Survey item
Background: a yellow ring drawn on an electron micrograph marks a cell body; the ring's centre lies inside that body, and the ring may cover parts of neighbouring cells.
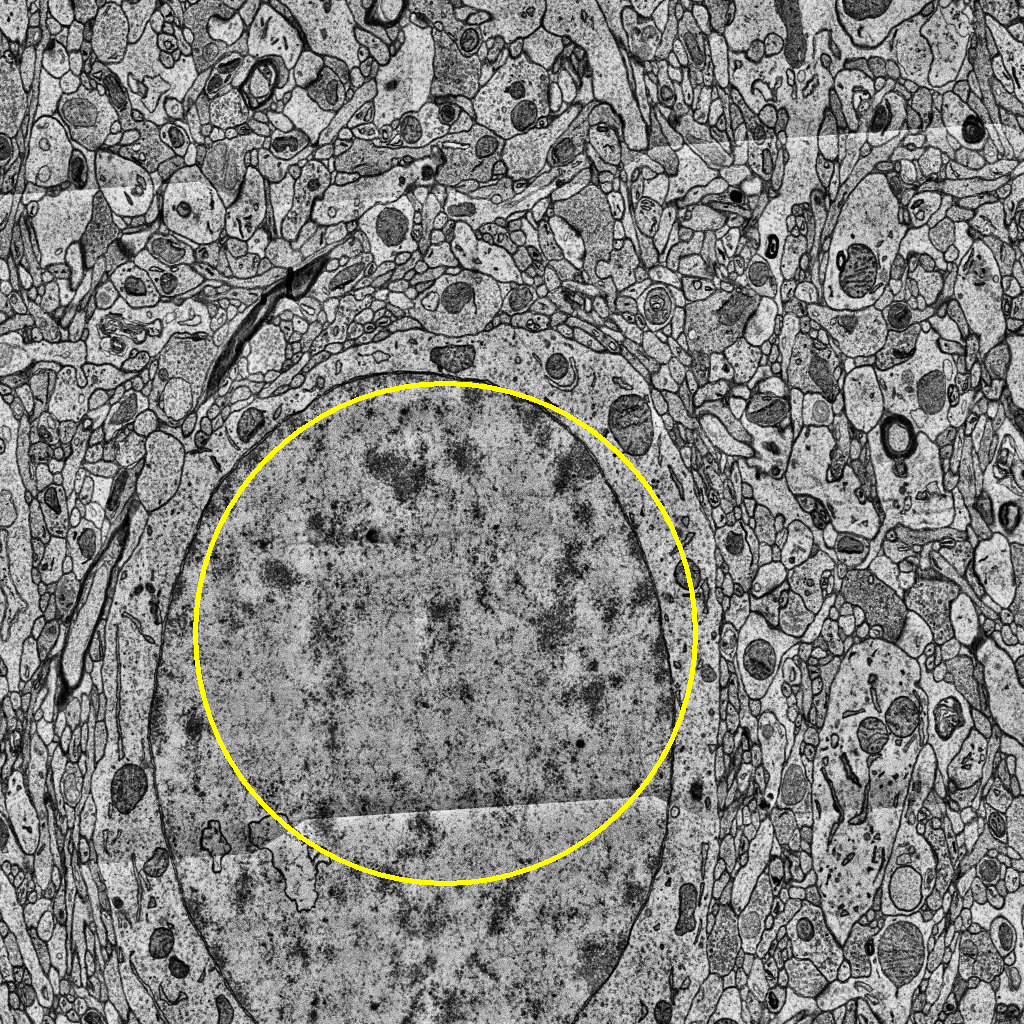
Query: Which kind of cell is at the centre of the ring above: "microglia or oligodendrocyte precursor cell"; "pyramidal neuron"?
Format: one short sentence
The cell in the middle of the ring is a pyramidal neuron.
